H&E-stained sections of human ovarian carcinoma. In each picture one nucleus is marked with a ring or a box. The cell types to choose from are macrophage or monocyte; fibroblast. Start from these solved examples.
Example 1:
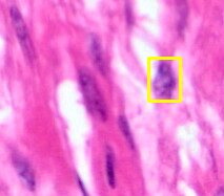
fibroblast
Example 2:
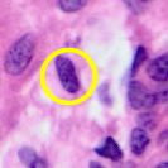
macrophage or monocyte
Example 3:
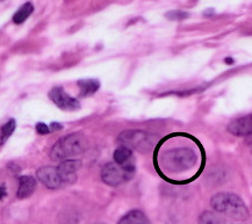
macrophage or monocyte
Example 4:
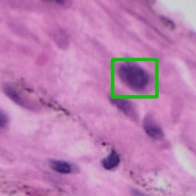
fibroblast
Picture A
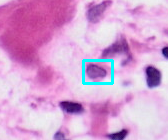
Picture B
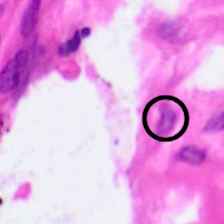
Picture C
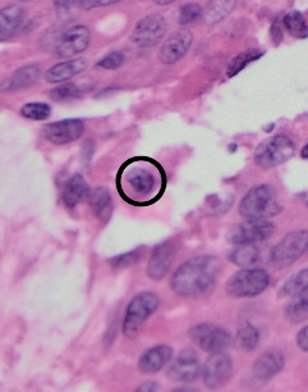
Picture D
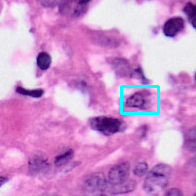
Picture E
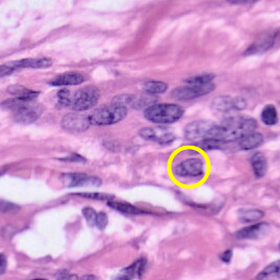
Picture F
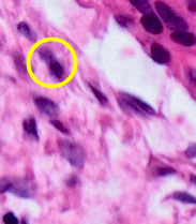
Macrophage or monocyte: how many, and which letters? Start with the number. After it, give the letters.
Count: 4 (A, C, D, E)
